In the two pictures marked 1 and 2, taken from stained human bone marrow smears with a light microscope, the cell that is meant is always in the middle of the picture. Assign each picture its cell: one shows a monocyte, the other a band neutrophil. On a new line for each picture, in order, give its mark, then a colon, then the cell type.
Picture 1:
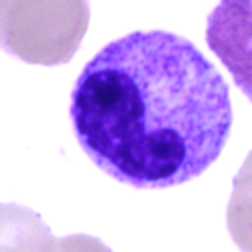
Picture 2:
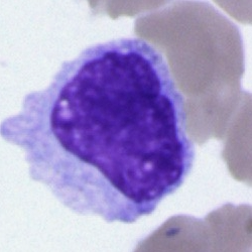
1: band neutrophil
2: monocyte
